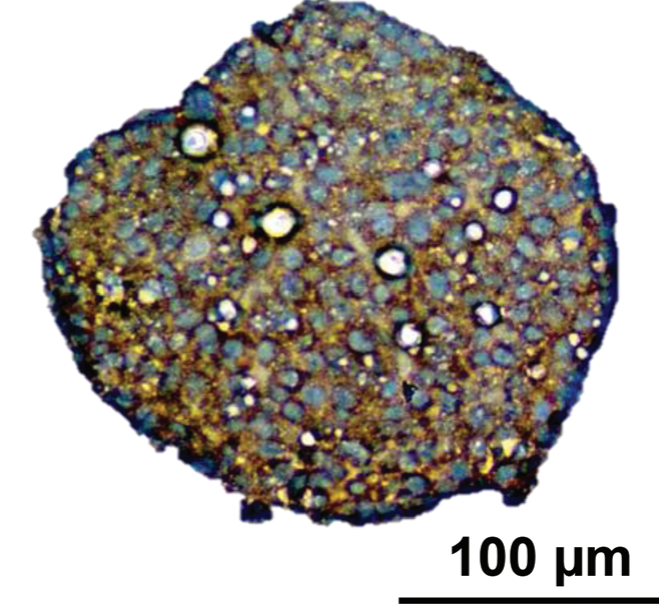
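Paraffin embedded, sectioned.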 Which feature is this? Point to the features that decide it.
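Spheroids. A single compact, roughly round cluster of densely packed cells with a sharp outer border. No surrounding tissue or stroma; the cell mass stands free against a clear background.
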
